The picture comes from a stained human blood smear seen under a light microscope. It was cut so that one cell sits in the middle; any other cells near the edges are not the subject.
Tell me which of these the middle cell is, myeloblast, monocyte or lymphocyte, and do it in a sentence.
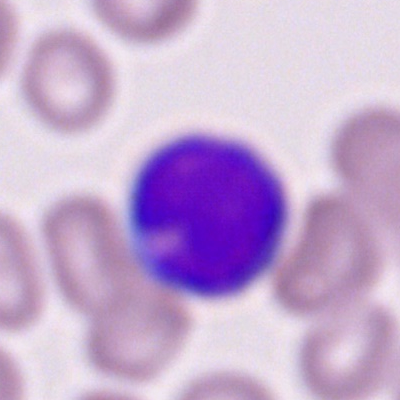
Seen at the centre of the crop is a myeloblast.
